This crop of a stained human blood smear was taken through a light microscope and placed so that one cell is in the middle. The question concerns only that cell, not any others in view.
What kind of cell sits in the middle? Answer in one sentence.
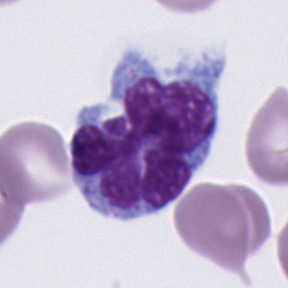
As for the cell in the middle, it is a monocyte.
